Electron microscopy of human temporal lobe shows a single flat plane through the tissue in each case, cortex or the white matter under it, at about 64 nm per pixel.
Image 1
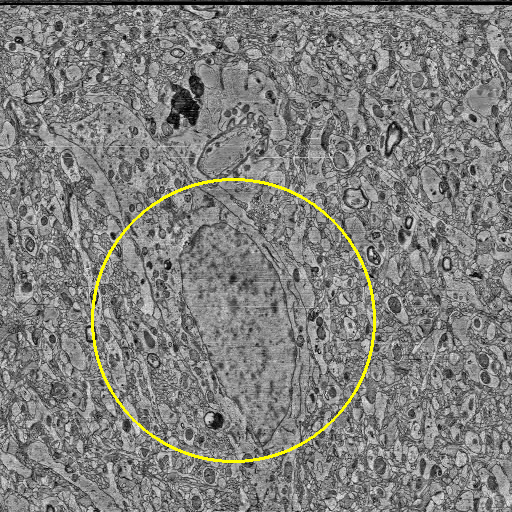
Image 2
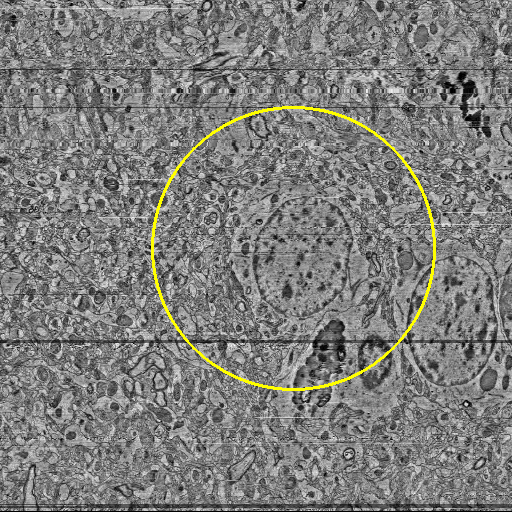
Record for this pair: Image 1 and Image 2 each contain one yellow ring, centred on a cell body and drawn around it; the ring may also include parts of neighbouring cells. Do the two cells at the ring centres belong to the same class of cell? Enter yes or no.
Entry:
no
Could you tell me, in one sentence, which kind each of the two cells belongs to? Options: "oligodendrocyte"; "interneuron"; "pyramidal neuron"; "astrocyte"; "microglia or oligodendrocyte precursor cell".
At the centre of the first ring sits an interneuron, and at the centre of the second sits an astrocyte.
